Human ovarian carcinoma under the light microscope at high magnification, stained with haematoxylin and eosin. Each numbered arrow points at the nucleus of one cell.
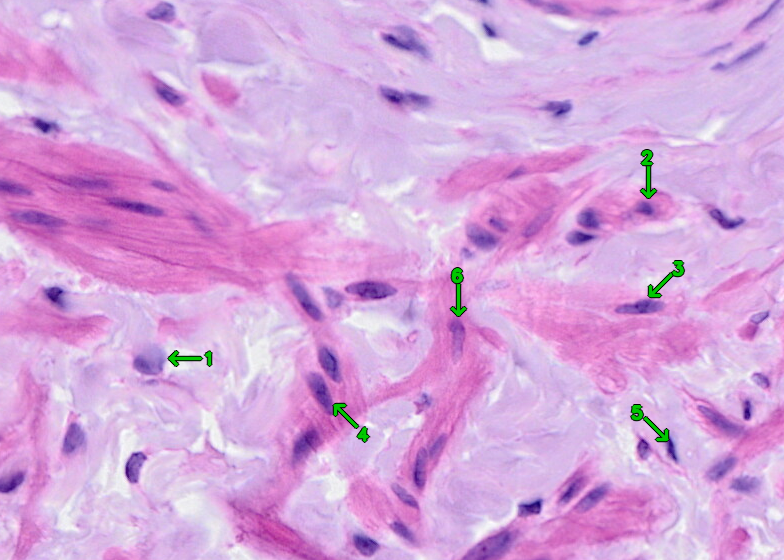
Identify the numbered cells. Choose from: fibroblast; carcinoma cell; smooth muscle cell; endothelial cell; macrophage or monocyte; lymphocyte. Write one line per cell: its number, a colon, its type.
1: fibroblast
2: smooth muscle cell
3: smooth muscle cell
4: smooth muscle cell
5: fibroblast
6: smooth muscle cell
